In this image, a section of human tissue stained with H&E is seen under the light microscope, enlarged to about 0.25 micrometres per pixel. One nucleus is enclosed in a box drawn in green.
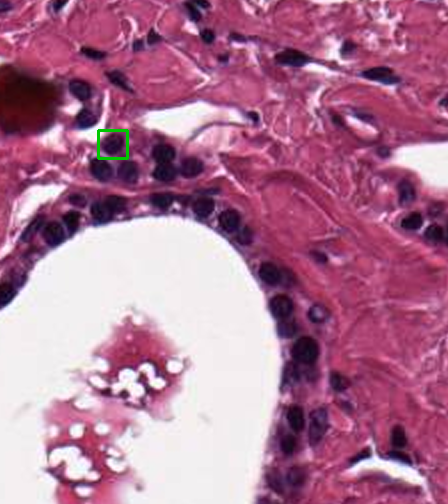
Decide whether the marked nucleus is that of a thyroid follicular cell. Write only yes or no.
yes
